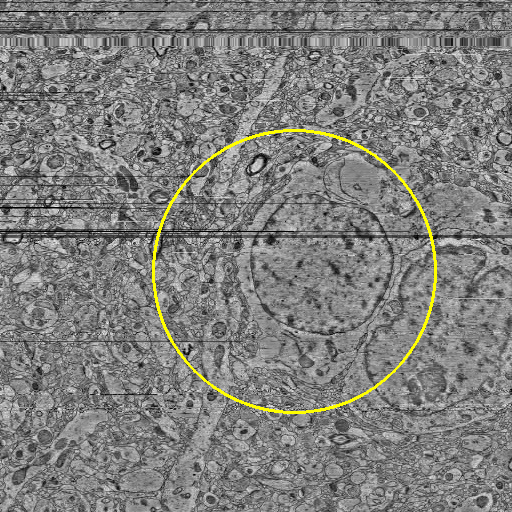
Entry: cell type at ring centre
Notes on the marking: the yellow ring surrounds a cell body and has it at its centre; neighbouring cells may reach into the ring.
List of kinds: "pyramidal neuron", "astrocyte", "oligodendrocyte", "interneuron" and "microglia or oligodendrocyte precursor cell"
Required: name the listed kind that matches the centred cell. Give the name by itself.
astrocyte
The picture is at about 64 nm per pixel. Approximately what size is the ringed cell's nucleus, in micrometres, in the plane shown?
In this plane the nucleus is about 9 micrometres across.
